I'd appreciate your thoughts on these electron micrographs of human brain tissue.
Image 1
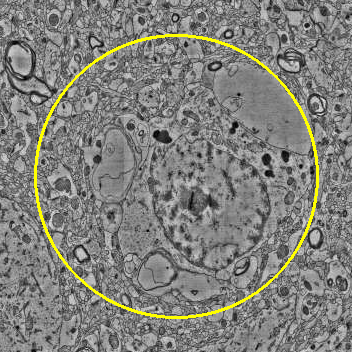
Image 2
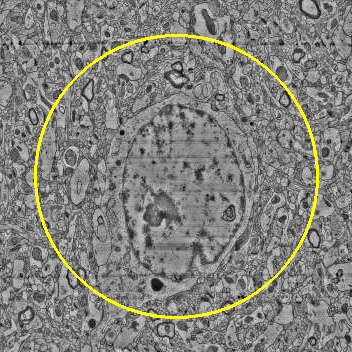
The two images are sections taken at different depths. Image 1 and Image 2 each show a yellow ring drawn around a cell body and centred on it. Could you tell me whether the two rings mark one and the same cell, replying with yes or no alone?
no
